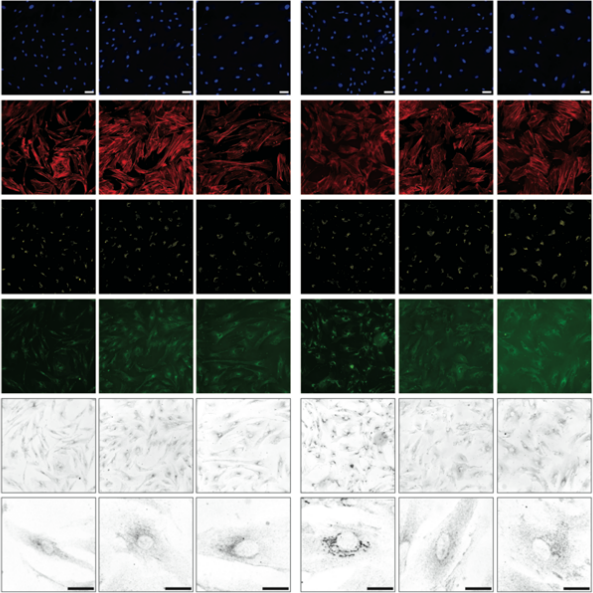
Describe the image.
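These are cultured fibroblasts, shown in a grid of channels. The blue nuclei are oval and scattered fairly evenly across each field. The red channel shows flat, elongated, spindle-shaped cells with long parallel fibres running along their length, often lying side by side in loose streams. Small yellow-orange clusters sit beside the nuclei, and the green channel gives a mostly diffuse signal through the cytoplasm. In the enlarged grey images, single spread cells show an oval nucleus with dark signal gathered around it. In one of them this dark signal forms a dense, clumped cluster next to the nucleus instead of a fine scatter.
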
